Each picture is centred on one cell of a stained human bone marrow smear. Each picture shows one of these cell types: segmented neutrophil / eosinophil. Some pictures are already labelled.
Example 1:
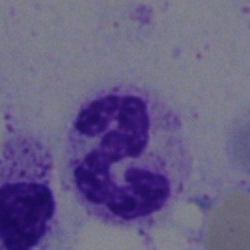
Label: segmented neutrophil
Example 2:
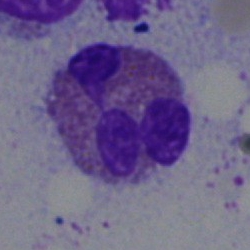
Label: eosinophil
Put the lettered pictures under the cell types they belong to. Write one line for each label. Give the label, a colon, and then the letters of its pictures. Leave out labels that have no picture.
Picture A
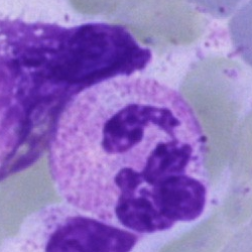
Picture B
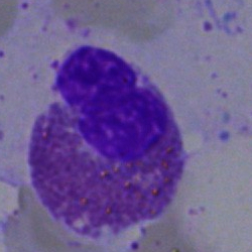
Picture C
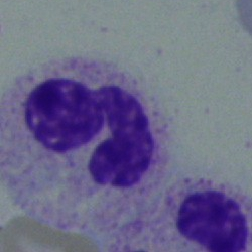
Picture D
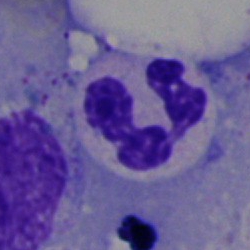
segmented neutrophil: A, C, D
eosinophil: B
